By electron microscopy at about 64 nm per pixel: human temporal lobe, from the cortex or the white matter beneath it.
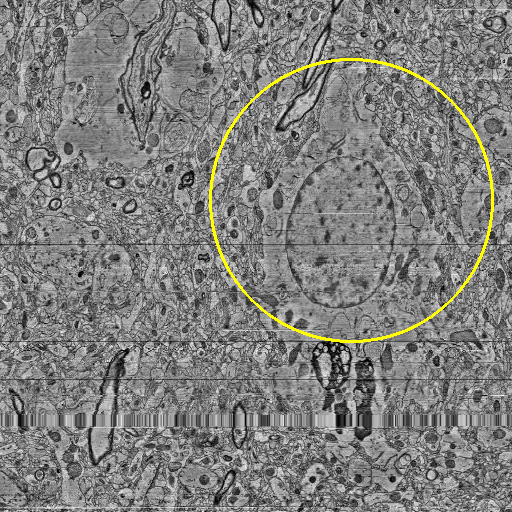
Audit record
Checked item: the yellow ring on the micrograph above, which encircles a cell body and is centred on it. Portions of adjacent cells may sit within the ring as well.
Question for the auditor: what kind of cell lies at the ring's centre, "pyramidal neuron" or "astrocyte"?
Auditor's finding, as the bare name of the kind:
astrocyte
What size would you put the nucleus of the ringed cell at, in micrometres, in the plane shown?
In this plane, roughly 10 by 7 micrometres.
